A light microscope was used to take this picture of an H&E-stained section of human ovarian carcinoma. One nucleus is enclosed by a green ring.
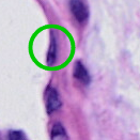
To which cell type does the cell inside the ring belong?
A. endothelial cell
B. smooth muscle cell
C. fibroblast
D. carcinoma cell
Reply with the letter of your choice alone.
A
